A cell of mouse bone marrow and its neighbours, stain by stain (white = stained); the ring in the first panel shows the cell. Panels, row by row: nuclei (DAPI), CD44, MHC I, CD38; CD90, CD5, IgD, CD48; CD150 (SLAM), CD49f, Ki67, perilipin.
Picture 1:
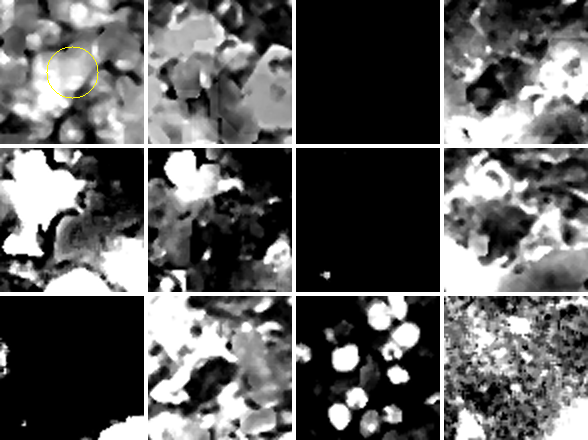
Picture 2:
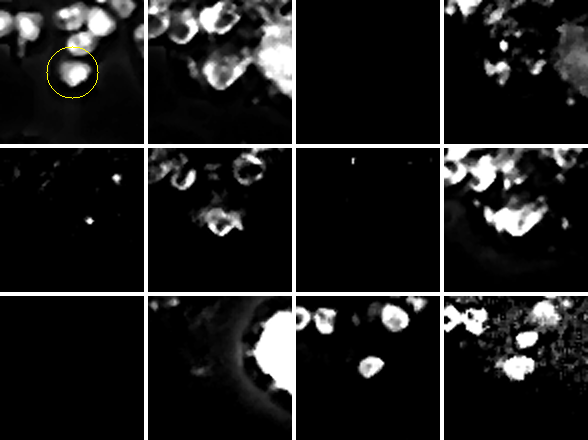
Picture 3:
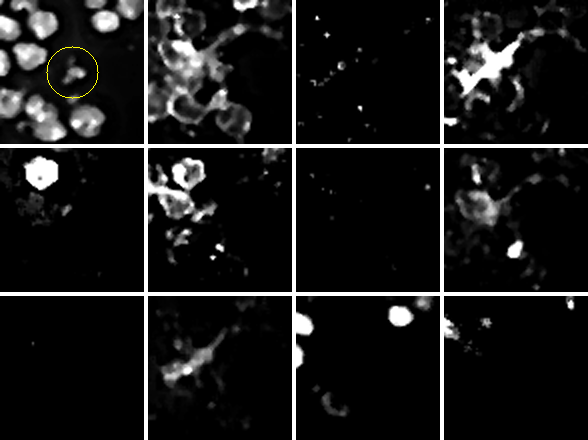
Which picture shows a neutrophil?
Picture 3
